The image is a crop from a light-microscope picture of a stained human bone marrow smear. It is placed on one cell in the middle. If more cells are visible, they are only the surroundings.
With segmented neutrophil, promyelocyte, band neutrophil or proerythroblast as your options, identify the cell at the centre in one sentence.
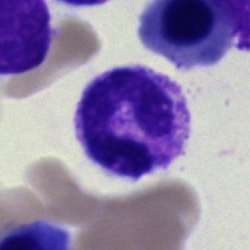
Framed in the middle of the crop is a segmented neutrophil.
